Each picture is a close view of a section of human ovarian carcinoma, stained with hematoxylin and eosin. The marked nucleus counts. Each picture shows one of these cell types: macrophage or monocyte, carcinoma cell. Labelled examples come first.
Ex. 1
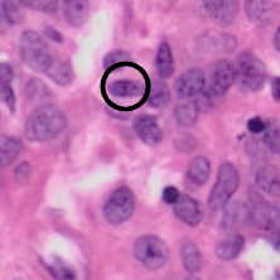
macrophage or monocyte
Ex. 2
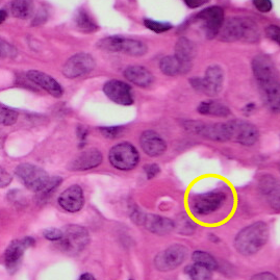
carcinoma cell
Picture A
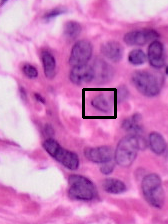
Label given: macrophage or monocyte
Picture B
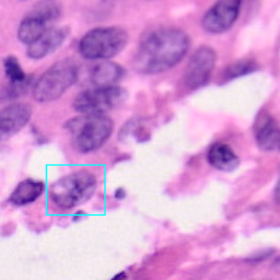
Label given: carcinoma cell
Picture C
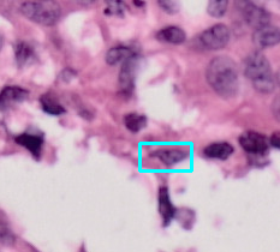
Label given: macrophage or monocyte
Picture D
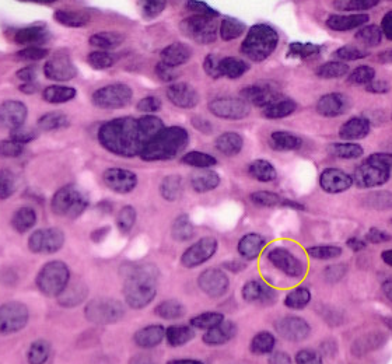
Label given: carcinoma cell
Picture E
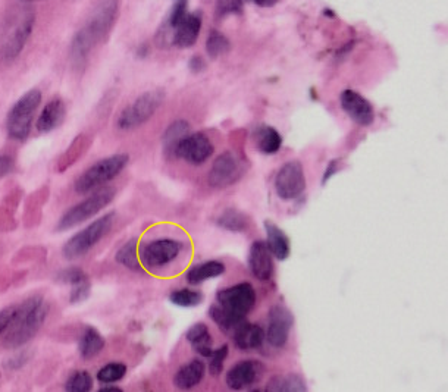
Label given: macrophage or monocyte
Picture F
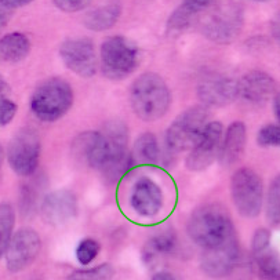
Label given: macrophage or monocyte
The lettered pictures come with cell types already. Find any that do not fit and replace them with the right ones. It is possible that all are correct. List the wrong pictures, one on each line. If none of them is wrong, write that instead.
B: not carcinoma cell but macrophage or monocyte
